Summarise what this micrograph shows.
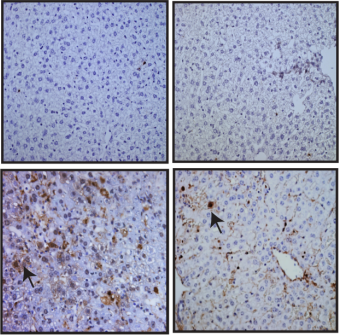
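These are liver sections counterstained blue, with hepatocyte nuclei spread evenly through the parenchyma. In the top row almost no brown stain is present.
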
